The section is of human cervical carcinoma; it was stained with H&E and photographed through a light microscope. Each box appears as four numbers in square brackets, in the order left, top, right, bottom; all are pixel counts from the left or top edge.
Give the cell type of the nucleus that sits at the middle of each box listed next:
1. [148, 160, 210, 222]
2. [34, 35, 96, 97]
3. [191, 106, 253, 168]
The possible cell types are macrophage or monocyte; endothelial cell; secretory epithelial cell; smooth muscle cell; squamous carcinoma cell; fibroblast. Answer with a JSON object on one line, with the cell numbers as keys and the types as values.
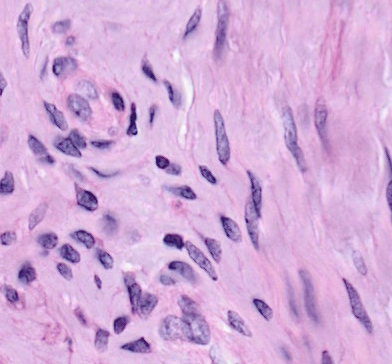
{"1": "fibroblast", "2": "endothelial cell", "3": "fibroblast"}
